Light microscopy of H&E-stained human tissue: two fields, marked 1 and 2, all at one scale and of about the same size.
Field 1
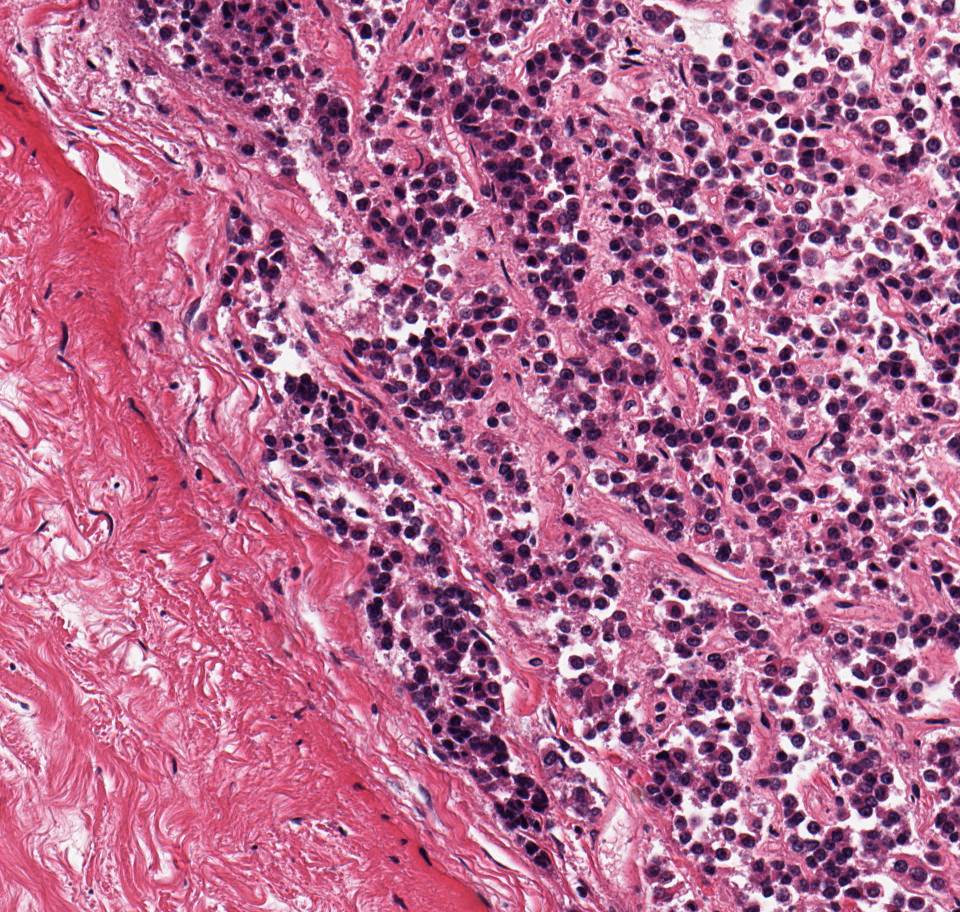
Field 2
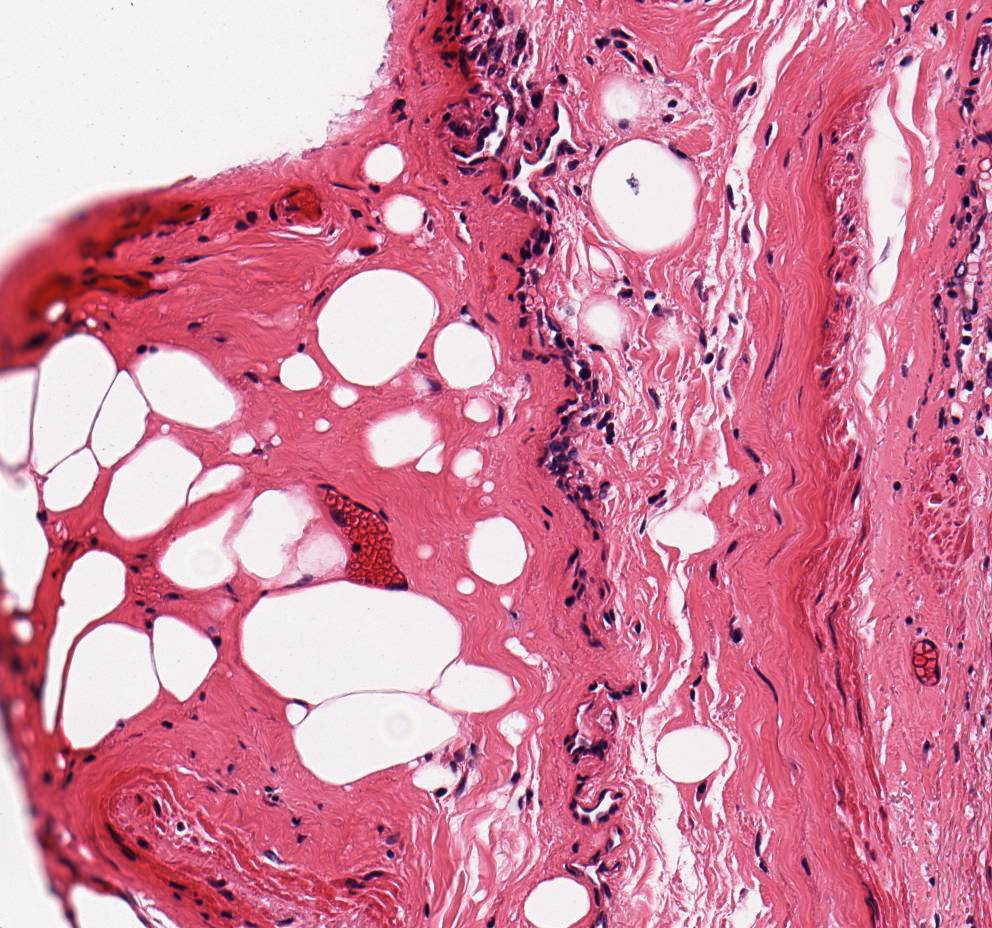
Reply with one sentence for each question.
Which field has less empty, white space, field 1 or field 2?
Less of field 1 is empty and white.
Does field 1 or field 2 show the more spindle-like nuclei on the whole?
It is field 2 whose nuclei are the more elongated.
